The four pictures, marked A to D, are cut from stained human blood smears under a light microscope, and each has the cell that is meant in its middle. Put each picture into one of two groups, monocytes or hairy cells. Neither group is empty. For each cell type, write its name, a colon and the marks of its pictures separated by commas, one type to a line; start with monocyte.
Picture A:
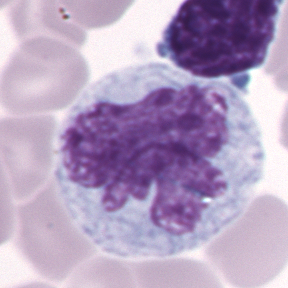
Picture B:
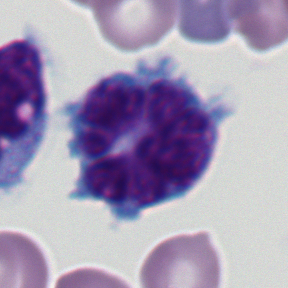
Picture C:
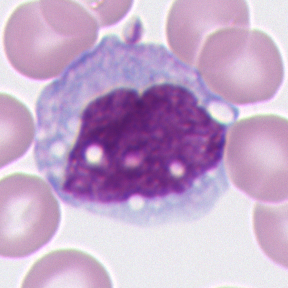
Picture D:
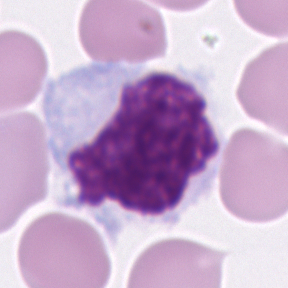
monocyte: A, B, C
hairy cell: D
